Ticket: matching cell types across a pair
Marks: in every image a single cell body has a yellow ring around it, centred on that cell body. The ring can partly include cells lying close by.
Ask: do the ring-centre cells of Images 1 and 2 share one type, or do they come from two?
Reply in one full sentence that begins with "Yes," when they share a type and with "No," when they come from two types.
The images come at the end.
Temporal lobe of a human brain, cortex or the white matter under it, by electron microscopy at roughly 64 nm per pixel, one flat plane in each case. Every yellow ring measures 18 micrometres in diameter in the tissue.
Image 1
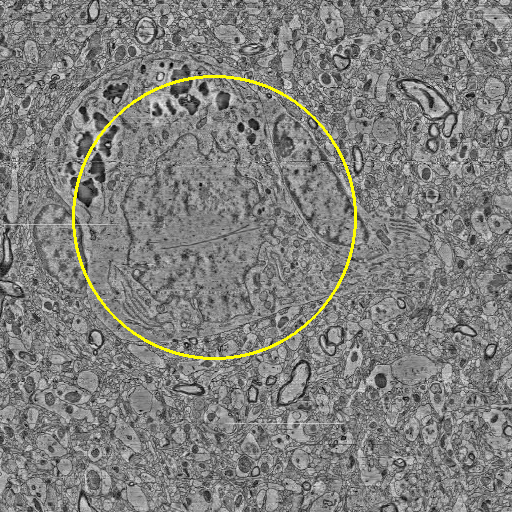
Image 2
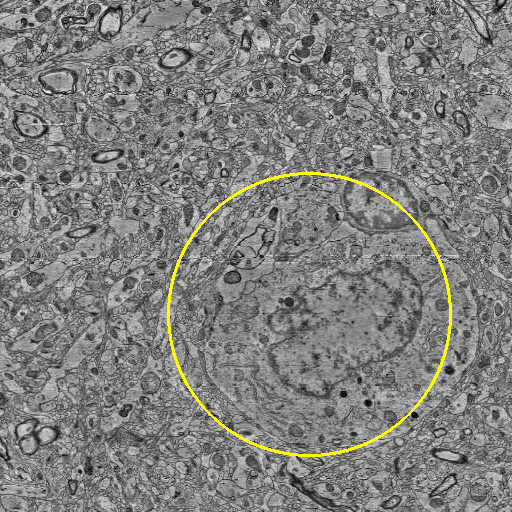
Yes, the cells in the centres of the rings in Image 1 and Image 2 share one type.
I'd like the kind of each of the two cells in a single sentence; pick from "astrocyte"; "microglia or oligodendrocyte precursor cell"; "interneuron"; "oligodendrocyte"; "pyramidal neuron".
The cell at the ring centre is an interneuron in both pictures.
